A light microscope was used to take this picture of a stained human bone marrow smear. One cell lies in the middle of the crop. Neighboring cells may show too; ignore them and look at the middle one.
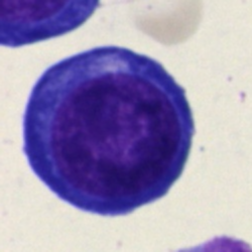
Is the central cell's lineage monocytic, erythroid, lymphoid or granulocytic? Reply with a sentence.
Designated erythroid in lineage is the cell at the center of the crop.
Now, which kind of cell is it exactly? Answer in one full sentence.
Here the centrally located cell is a proerythroblast.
